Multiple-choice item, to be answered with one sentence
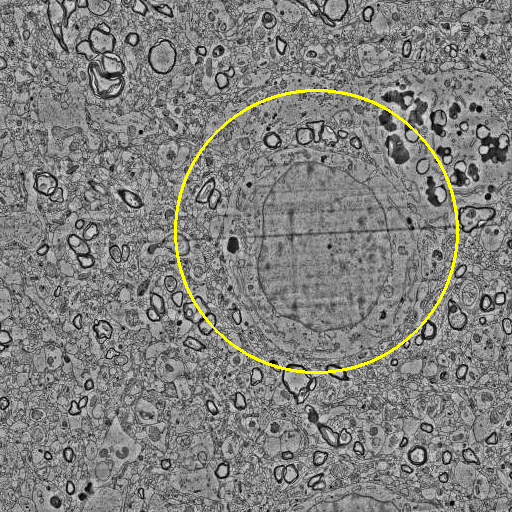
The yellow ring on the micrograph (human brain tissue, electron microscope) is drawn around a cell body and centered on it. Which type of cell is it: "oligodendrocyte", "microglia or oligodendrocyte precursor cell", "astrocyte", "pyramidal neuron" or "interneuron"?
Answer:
The ring is centered on an interneuron.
